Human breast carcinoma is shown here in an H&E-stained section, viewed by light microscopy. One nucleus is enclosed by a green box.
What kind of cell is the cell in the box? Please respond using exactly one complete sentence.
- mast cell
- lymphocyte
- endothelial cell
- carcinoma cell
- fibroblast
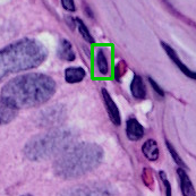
Recorded by type, the cell in the box is an endothelial cell.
